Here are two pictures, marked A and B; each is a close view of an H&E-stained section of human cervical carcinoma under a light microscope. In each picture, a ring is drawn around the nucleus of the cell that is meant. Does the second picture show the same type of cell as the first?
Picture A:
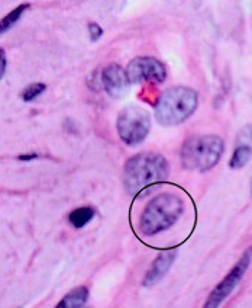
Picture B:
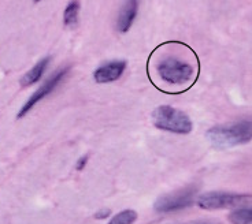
no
